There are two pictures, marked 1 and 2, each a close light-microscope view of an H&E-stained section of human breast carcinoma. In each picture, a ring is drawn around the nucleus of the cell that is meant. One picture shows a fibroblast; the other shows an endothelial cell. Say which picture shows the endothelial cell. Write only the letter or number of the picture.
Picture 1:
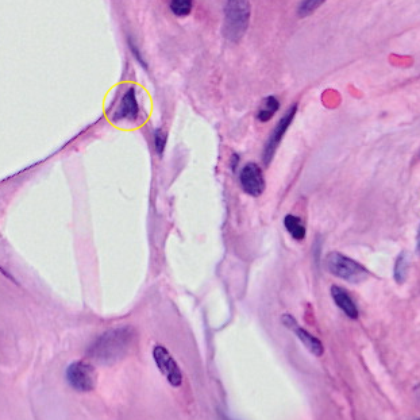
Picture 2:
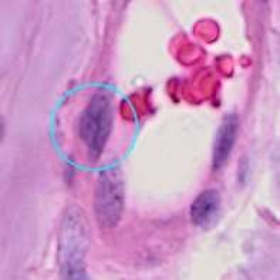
2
